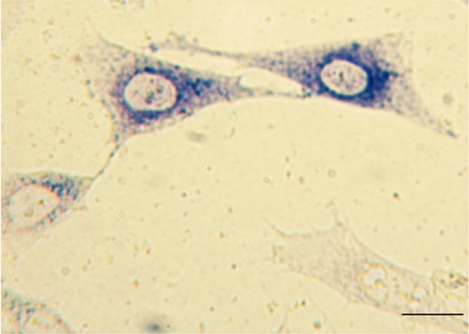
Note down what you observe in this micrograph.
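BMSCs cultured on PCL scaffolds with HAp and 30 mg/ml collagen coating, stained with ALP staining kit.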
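The surrounding cytoplasm is densely stippled with dark blue-purple granular stain, heaviest close to the nucleus and fading toward the tapering cell extensions. A neighbouring cell at the lower right is only faintly stained.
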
